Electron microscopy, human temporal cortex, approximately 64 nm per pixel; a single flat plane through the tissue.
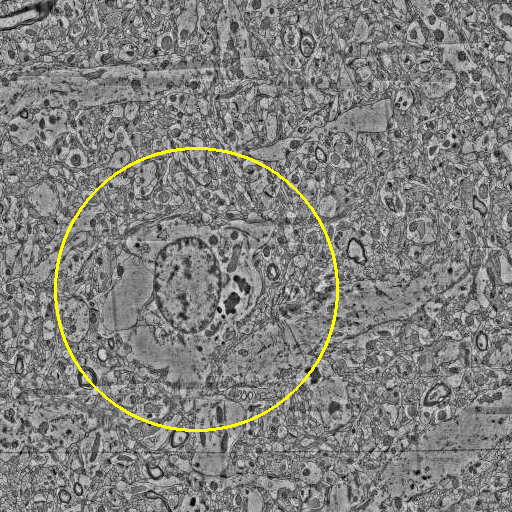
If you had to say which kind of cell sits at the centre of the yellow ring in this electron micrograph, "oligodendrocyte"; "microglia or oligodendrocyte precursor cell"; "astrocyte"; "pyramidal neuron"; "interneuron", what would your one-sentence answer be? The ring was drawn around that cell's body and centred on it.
The cell sitting at the centre of the ring is an astrocyte.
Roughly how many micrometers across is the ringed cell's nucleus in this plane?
The nucleus comes to roughly 6 by 4 micrometres in this plane.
